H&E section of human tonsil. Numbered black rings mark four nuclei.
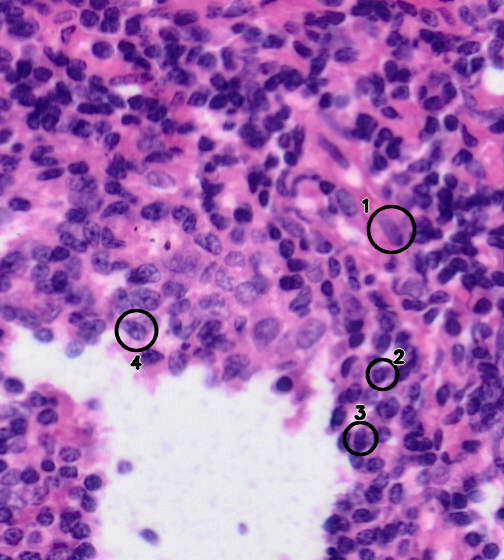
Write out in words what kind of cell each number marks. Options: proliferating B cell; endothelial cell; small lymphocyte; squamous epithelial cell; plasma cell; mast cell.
Cell 1 is an endothelial cell. Cells 2 and 3 are small lymphocytes. Cell 4 is a proliferating B cell.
